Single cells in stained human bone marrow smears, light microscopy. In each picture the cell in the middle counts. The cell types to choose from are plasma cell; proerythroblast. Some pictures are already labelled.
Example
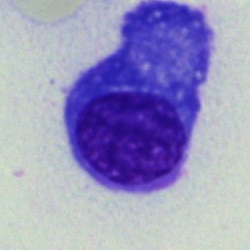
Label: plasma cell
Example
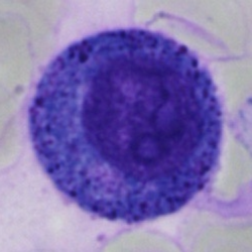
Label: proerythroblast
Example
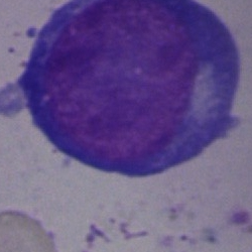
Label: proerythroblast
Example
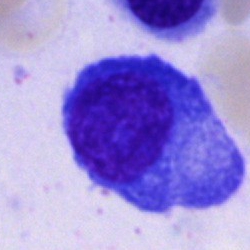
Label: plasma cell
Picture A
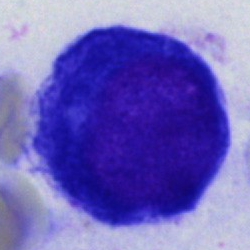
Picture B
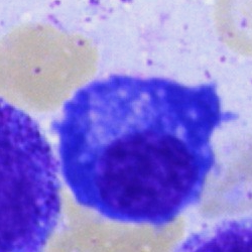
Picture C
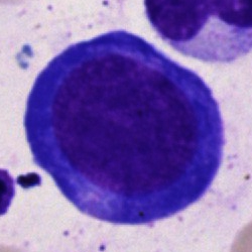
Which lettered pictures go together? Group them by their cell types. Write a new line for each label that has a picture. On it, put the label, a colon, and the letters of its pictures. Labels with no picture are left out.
plasma cell: B
proerythroblast: A, C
